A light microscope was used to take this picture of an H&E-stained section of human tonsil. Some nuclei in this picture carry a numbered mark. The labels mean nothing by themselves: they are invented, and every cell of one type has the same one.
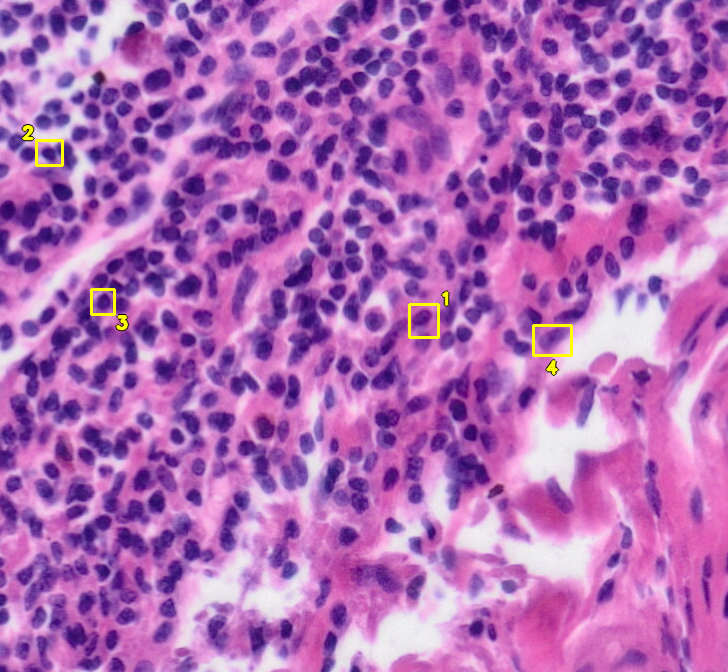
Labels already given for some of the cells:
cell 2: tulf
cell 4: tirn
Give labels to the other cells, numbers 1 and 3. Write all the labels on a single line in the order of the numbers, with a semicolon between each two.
tirn; tulf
